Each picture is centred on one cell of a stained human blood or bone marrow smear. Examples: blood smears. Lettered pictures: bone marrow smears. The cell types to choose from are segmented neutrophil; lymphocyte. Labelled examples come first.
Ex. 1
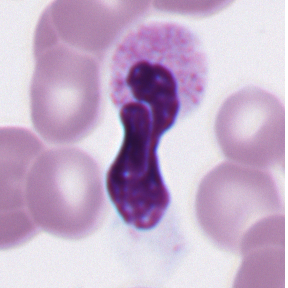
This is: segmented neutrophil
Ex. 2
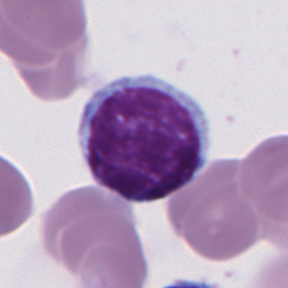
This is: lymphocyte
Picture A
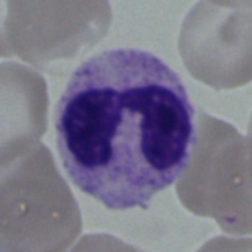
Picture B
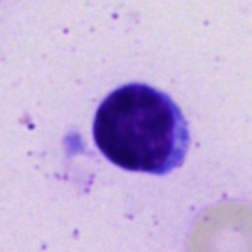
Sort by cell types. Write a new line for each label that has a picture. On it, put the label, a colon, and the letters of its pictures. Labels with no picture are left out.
segmented neutrophil: A
lymphocyte: B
